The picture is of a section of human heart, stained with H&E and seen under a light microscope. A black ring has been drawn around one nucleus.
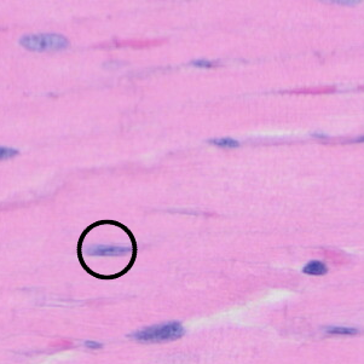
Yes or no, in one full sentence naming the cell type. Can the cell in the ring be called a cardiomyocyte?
No, the cell in the ring is to be identified as an endothelial cell, not a cardiomyocyte.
